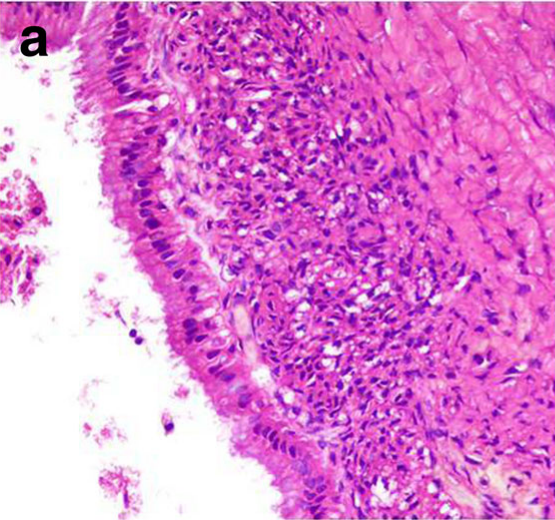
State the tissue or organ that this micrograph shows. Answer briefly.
Columnar epithelium.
